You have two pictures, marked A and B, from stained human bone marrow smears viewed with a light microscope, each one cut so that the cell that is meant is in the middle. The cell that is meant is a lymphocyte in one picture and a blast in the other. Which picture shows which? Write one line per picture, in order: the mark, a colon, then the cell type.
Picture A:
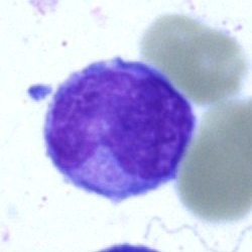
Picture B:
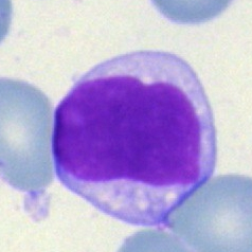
A: blast
B: lymphocyte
